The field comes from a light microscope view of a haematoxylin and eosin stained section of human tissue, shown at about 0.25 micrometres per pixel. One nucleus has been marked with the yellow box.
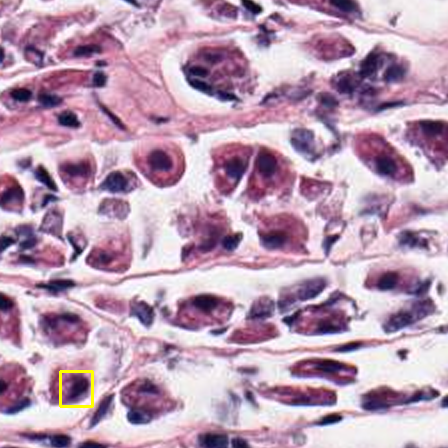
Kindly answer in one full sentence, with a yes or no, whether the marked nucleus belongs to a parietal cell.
Yes, the cell that houses the marked nucleus is a parietal cell.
